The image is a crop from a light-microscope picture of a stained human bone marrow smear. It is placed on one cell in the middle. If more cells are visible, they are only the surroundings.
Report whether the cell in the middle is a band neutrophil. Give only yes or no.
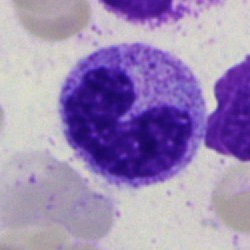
yes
